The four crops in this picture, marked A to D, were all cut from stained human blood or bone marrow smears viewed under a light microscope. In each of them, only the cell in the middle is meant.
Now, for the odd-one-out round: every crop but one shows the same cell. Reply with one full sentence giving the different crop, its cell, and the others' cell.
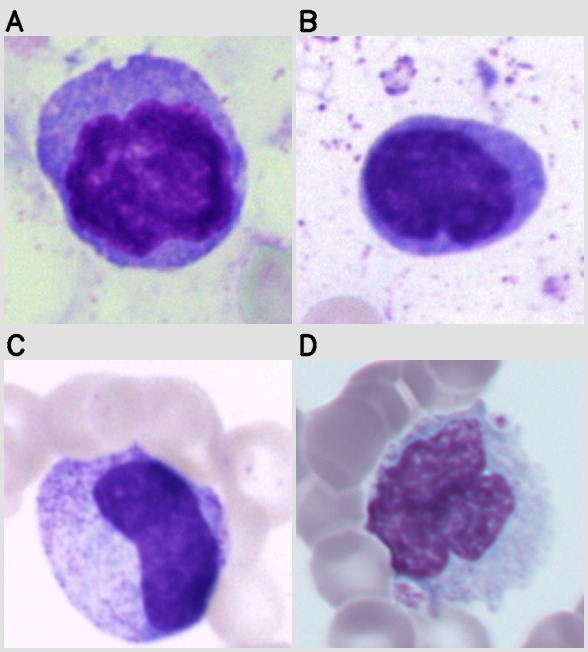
With the other crops all showing monocytes, crop C differs by showing a metamyelocyte.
